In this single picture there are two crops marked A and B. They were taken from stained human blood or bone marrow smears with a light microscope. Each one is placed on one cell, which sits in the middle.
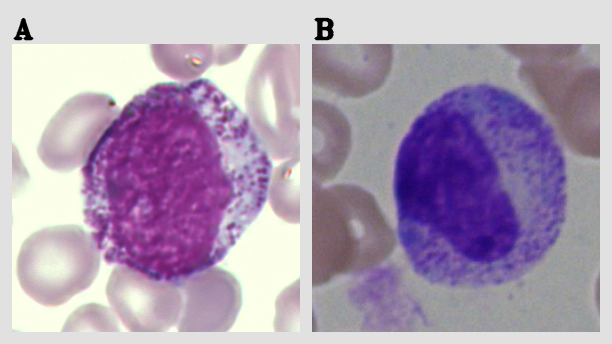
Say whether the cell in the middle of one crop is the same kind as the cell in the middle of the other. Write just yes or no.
yes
